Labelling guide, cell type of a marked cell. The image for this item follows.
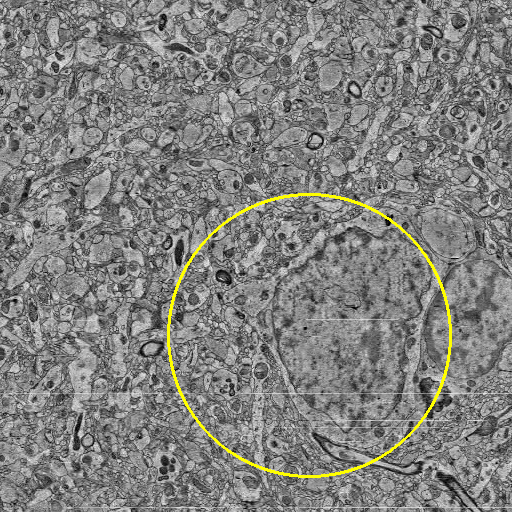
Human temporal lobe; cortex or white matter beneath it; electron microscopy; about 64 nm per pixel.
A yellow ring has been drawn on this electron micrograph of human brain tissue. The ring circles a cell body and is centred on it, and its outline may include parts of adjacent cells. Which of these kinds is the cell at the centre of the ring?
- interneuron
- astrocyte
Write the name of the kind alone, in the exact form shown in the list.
interneuron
